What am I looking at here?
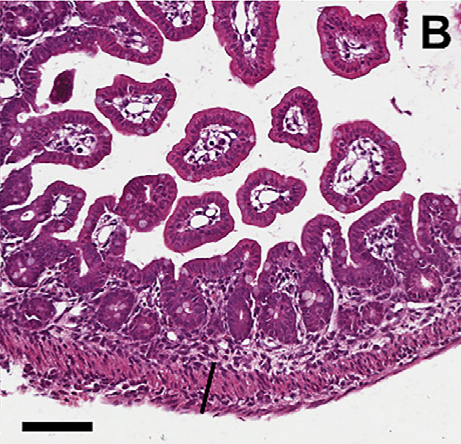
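Toward the bottom, the bases of the villi sit on rows of rounded glands with darker cells. Beneath these lies a pink band of tightly packed, elongated smooth muscle cells forming the outer wall of the bowel. This is the intestinal wall with its villi, glandular mucosa and muscle layer.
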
